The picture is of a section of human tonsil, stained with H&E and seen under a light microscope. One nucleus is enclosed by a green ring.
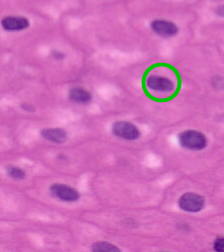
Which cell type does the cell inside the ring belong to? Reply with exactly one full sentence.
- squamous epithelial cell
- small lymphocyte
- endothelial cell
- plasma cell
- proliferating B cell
Labelled by cell type, the cell inside the ring is a squamous epithelial cell.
